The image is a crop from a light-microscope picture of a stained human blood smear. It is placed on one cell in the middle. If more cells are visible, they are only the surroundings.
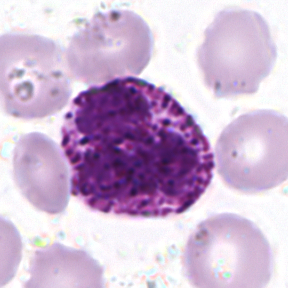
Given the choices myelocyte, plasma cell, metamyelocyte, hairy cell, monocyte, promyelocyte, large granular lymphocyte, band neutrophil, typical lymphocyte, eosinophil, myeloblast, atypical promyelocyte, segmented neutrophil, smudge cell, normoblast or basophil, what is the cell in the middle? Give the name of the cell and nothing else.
basophil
